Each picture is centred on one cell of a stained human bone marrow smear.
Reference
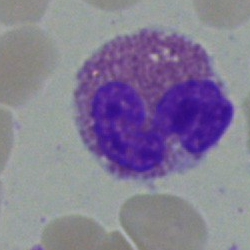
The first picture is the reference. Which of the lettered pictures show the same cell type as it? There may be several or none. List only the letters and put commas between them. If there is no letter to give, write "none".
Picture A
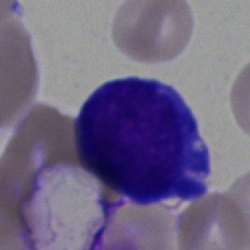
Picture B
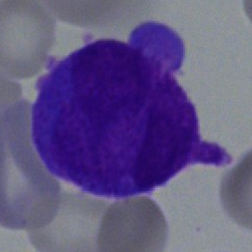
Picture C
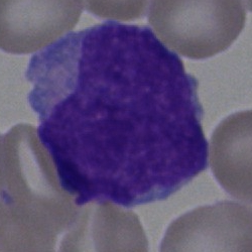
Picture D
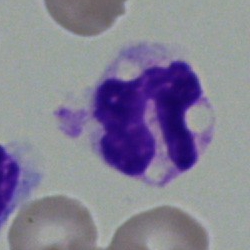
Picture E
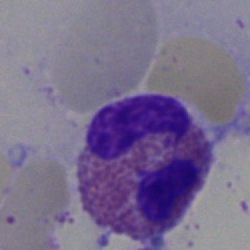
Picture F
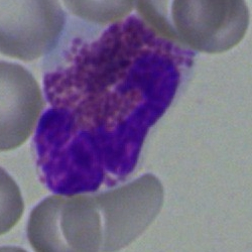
E, F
